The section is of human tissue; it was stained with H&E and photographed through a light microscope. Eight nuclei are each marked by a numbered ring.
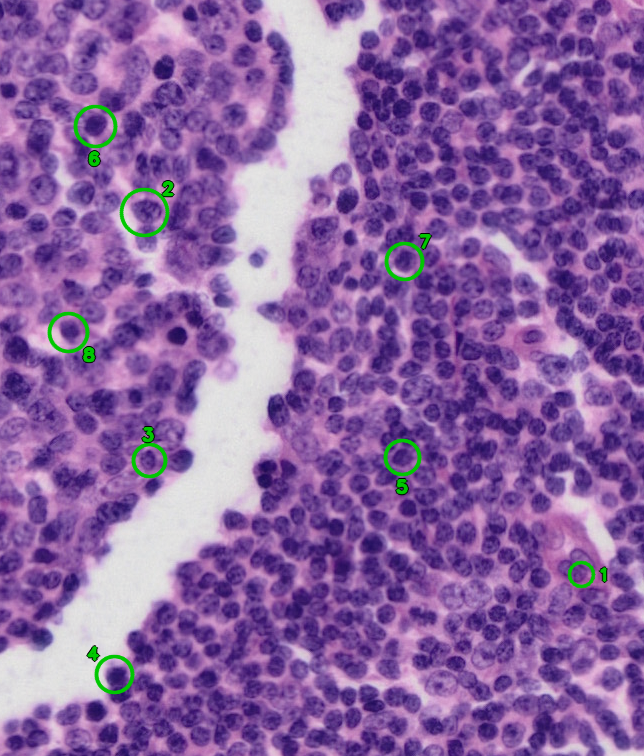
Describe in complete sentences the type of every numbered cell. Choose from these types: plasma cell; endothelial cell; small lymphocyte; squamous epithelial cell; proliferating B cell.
Cell 1 is an endothelial cell, cell 2 is a proliferating B cell, cell 3 is a proliferating B cell, cell 4 is a small lymphocyte, cell 5 is a small lymphocyte, cell 6 is a proliferating B cell, cell 7 is a small lymphocyte and cell 8 is a proliferating B cell.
